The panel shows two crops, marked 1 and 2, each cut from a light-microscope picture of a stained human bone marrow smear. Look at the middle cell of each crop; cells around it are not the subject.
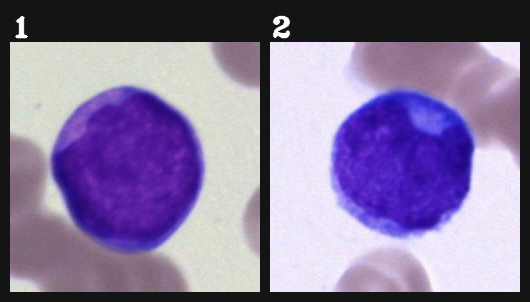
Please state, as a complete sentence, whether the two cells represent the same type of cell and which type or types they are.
Yes, the same answer goes for both crops, namely blasts.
